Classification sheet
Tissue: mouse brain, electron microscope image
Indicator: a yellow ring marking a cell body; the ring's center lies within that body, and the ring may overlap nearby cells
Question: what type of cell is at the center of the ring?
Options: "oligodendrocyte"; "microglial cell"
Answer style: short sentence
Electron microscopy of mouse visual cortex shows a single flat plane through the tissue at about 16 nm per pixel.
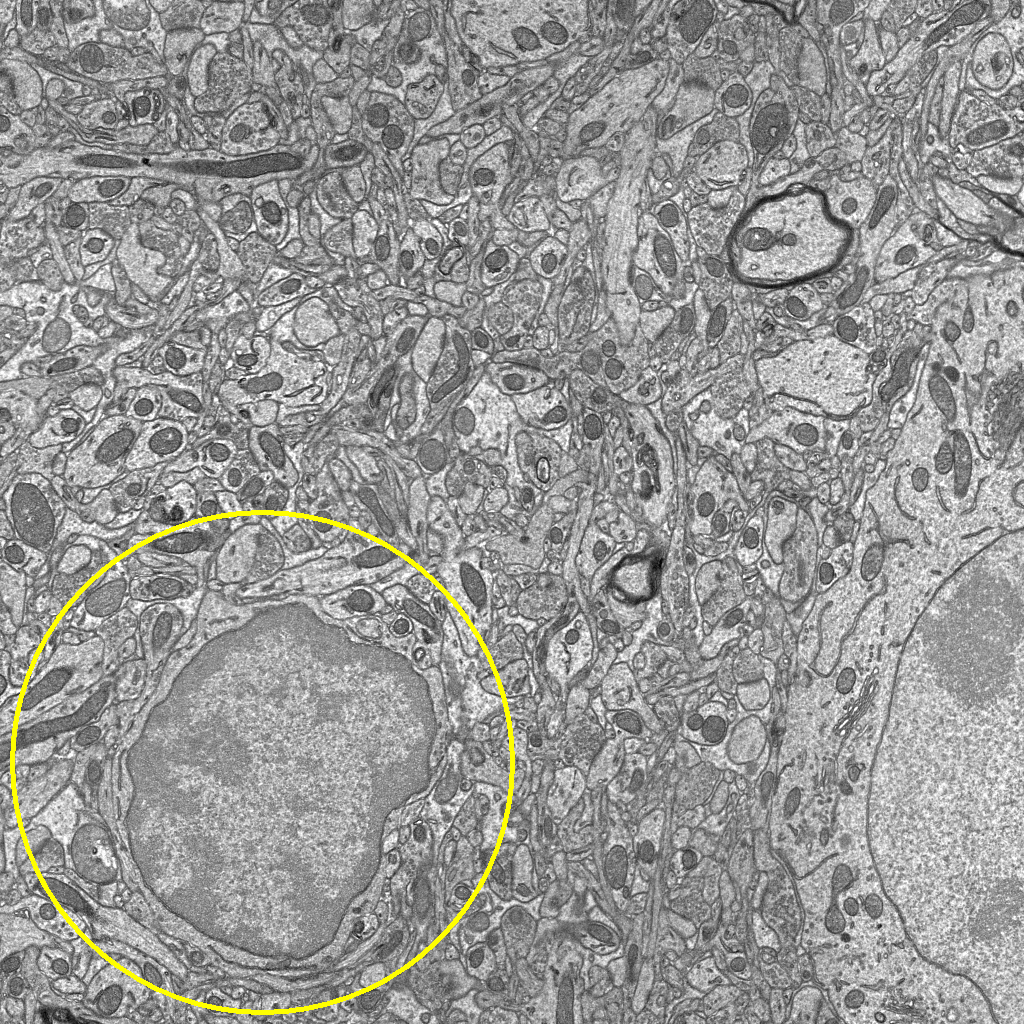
At the ring's center is a microglial cell.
